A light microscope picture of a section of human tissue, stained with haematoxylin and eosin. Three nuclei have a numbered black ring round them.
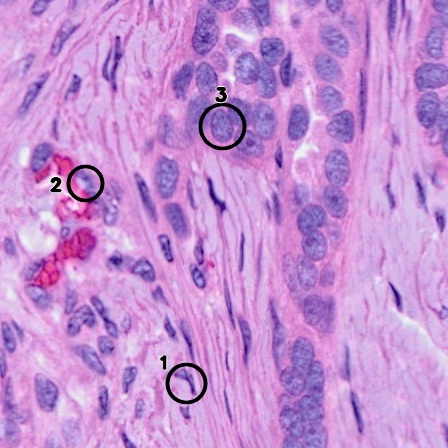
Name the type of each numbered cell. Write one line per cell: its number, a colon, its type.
1: fibroblast
2: endothelial cell
3: carcinoma cell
